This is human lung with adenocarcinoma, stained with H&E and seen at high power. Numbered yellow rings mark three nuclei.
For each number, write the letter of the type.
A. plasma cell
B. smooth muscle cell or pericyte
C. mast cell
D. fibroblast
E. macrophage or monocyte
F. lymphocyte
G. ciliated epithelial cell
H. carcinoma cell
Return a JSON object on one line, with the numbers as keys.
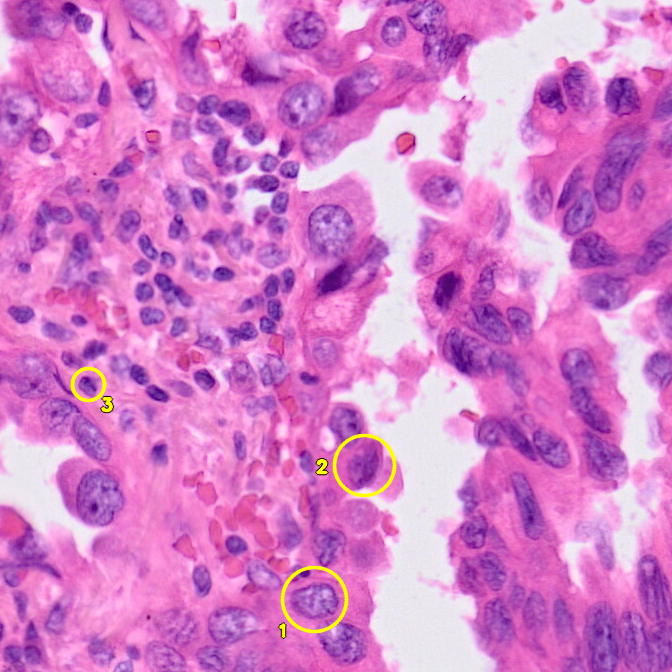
{"1": "H", "2": "H", "3": "F"}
